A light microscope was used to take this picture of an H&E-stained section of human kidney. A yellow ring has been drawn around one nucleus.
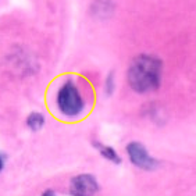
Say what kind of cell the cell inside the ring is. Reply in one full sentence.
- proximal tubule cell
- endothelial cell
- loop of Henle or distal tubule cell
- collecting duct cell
With respect to cell type, the cell inside the ring is an endothelial cell.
